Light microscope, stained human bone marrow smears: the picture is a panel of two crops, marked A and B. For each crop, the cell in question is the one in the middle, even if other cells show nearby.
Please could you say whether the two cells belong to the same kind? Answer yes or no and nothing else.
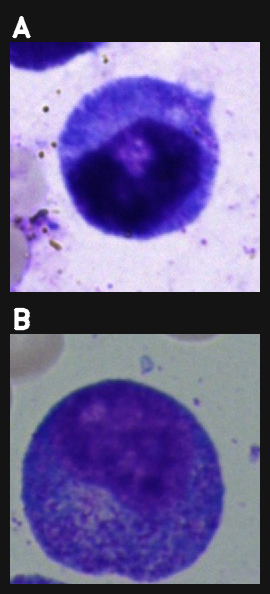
yes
